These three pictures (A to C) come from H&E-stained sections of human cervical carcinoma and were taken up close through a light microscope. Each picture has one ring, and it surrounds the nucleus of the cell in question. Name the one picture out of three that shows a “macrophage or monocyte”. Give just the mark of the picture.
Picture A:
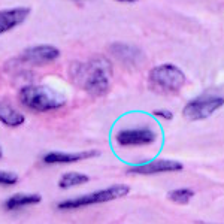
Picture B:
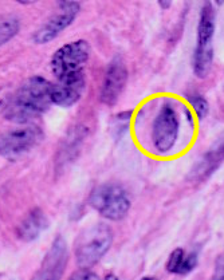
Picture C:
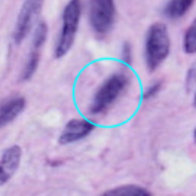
B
